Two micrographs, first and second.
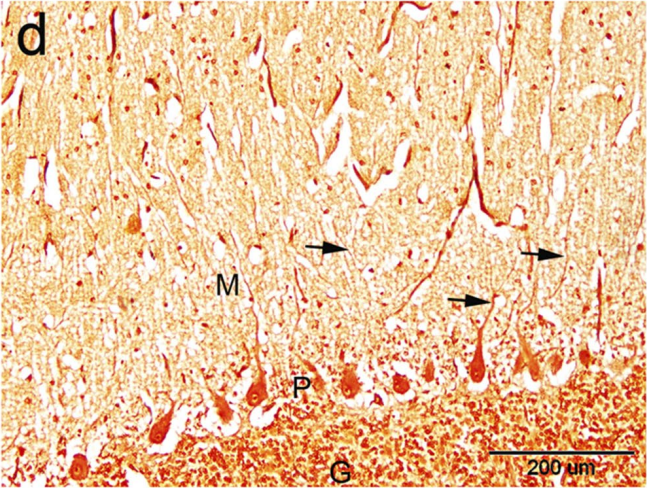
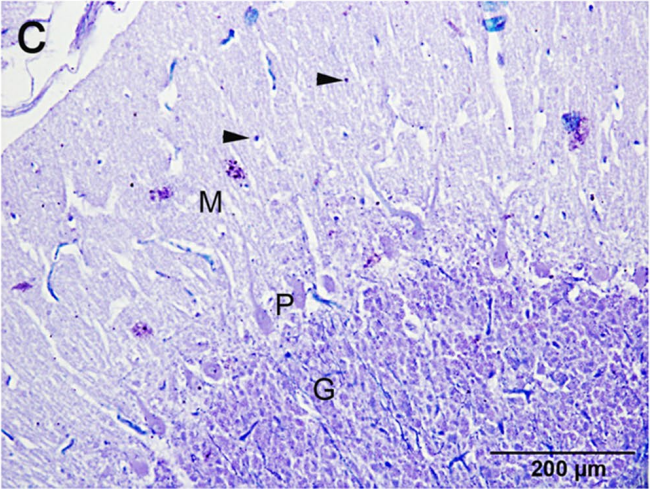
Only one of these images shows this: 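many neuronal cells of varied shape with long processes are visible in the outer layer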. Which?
The first image.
